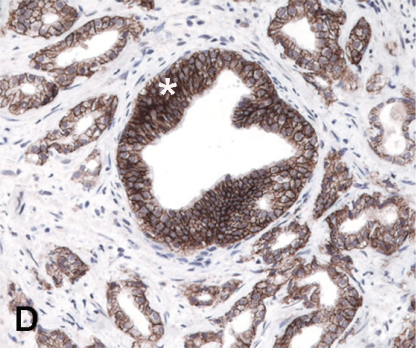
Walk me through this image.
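Low-grade prostate carcinoma made of many small, well-formed glands set in pale fibrous stroma. The tumor cells are cuboidal to columnar with round to oval blue nuclei, and each cell is sharply outlined by dark brown staining at its membrane, giving a honeycomb pattern. In the centre a larger rounded gland is lined by crowded, several-layered cells that fill much of its wall around an open lumen, also strongly outlined in brown. The surrounding stroma has scattered spindle-shaped nuclei and is unstained. Lumens of the small glands are empty or contain pale material.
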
